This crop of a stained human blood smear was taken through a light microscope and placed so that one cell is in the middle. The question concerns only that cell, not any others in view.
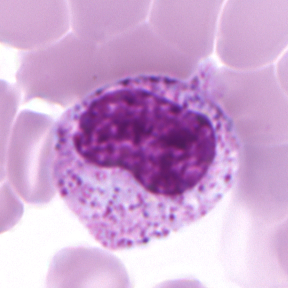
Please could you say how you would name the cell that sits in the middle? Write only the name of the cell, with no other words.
metamyelocyte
